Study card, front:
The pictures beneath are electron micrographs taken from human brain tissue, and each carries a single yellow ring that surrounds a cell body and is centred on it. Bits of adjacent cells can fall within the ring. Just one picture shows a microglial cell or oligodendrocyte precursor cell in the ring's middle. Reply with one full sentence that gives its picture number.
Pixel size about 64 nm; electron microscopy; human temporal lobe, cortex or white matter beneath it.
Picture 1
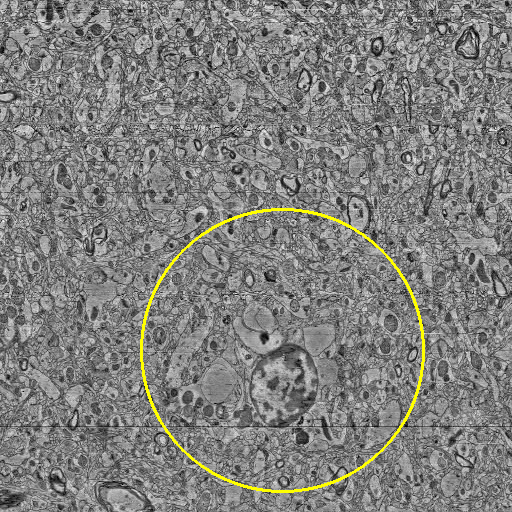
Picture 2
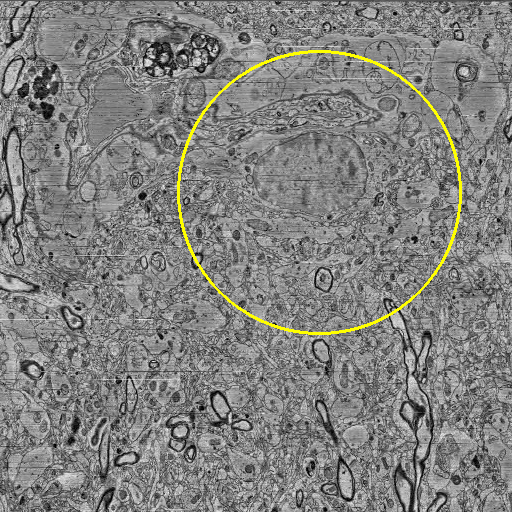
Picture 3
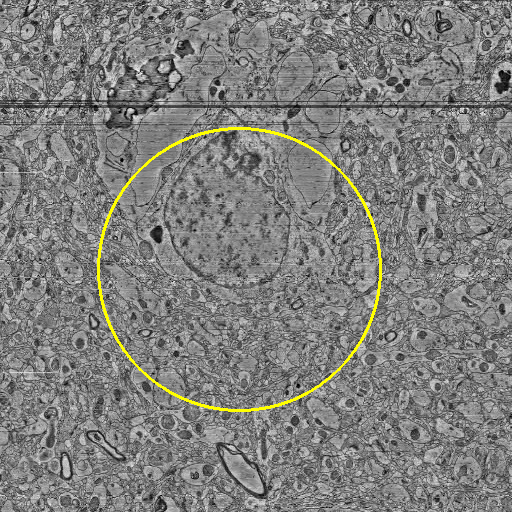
Picture 1 is the one whose ring has the requested cell at its centre.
